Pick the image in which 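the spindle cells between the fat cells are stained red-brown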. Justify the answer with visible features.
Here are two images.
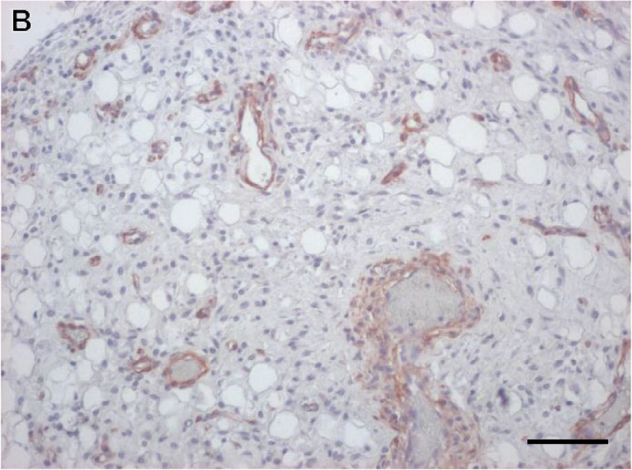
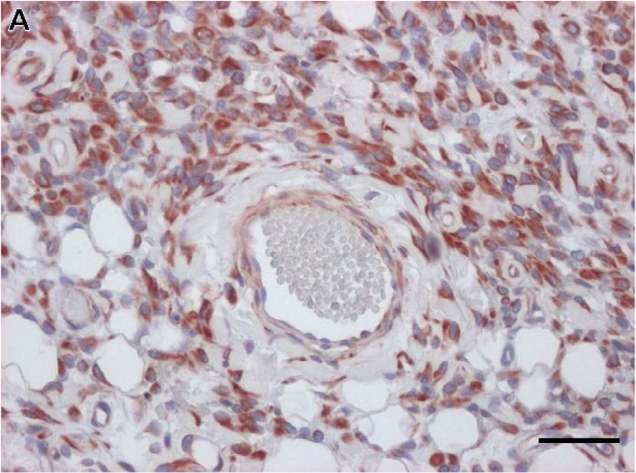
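The second image. First image: spindle cells show blue nuclei and pale cytoplasm, stain only in vessel walls. Second image: most spindle cells have strongly red-brown cytoplasm.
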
